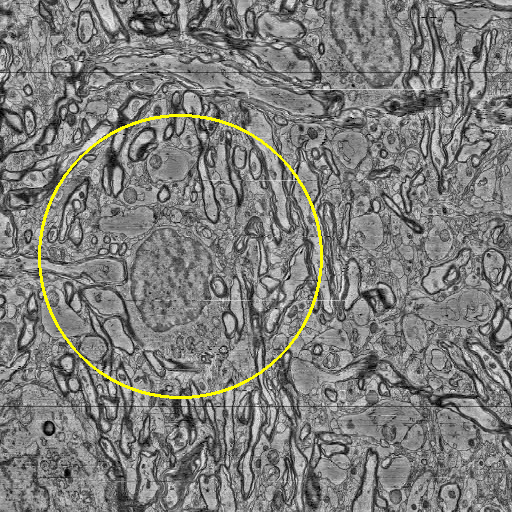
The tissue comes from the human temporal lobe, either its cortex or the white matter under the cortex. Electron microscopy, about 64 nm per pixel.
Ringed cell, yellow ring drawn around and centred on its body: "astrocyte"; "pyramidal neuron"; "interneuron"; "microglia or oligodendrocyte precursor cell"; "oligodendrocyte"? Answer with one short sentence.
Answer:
This ringed cell is an oligodendrocyte.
